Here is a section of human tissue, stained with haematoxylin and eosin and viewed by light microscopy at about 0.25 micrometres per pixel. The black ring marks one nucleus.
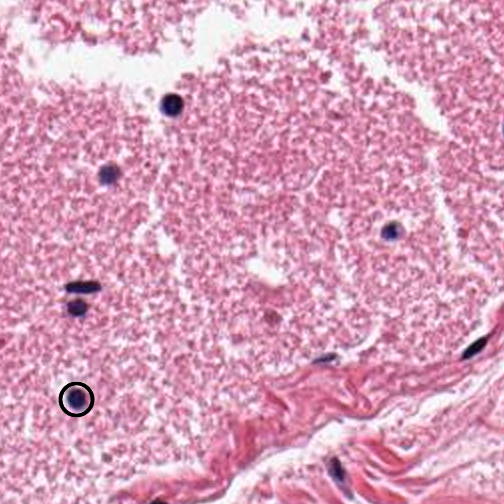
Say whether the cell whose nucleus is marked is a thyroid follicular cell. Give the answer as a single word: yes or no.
no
